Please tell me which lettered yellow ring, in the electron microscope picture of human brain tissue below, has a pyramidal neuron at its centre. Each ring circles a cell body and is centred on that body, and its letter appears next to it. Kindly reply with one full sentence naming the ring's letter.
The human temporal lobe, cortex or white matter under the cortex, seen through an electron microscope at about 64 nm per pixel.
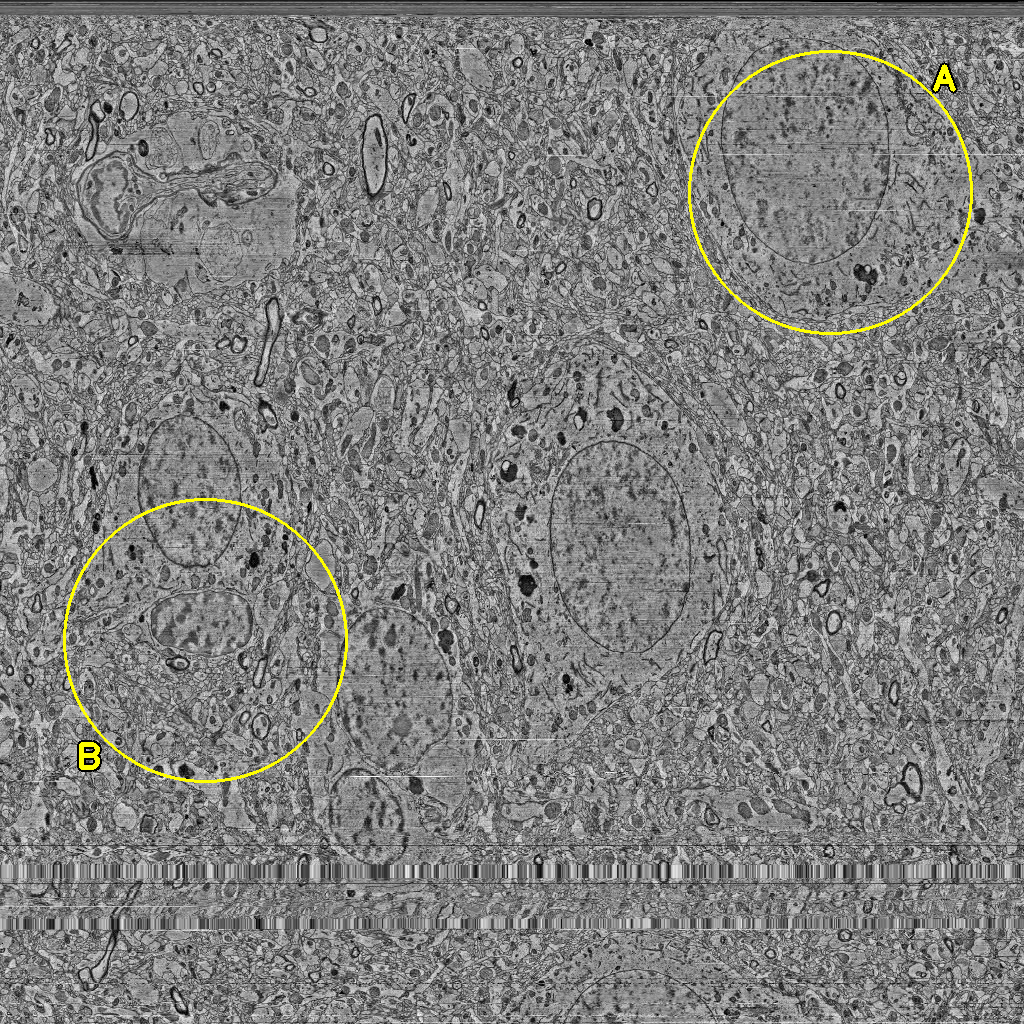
Ring A has the cell asked for at its centre.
